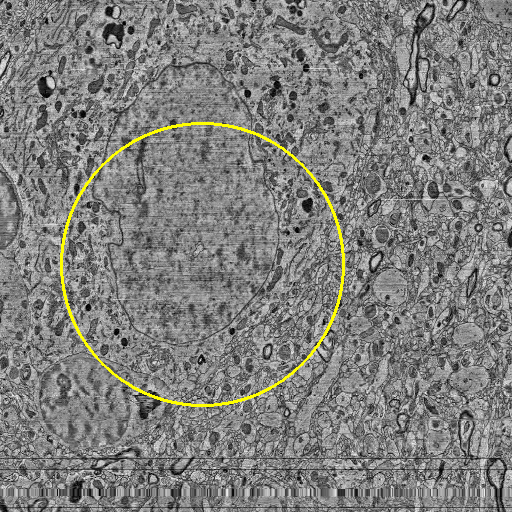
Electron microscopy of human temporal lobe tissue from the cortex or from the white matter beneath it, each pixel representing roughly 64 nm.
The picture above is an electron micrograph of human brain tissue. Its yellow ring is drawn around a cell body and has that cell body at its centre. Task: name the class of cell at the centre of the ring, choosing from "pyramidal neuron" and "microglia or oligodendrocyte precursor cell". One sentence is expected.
The ring surrounds the body of a pyramidal neuron.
